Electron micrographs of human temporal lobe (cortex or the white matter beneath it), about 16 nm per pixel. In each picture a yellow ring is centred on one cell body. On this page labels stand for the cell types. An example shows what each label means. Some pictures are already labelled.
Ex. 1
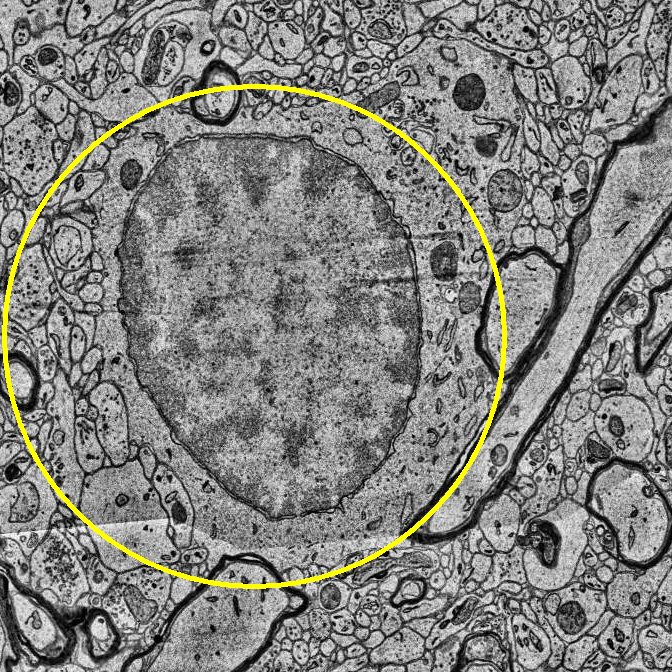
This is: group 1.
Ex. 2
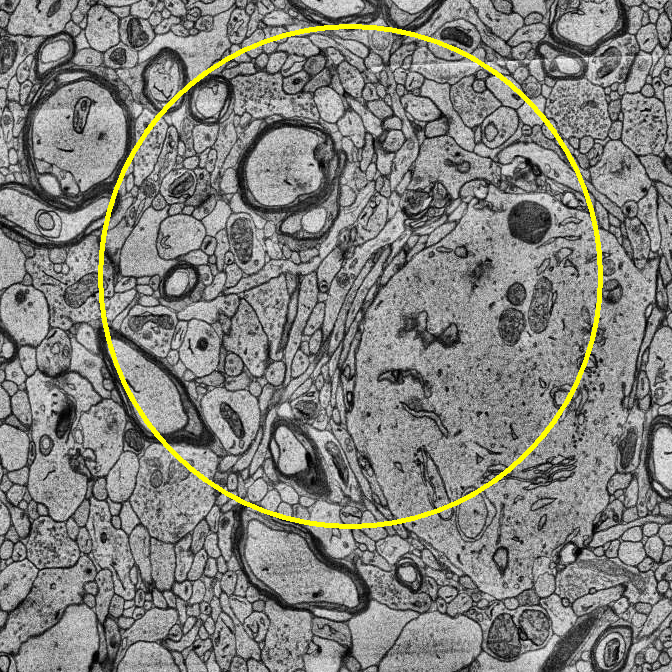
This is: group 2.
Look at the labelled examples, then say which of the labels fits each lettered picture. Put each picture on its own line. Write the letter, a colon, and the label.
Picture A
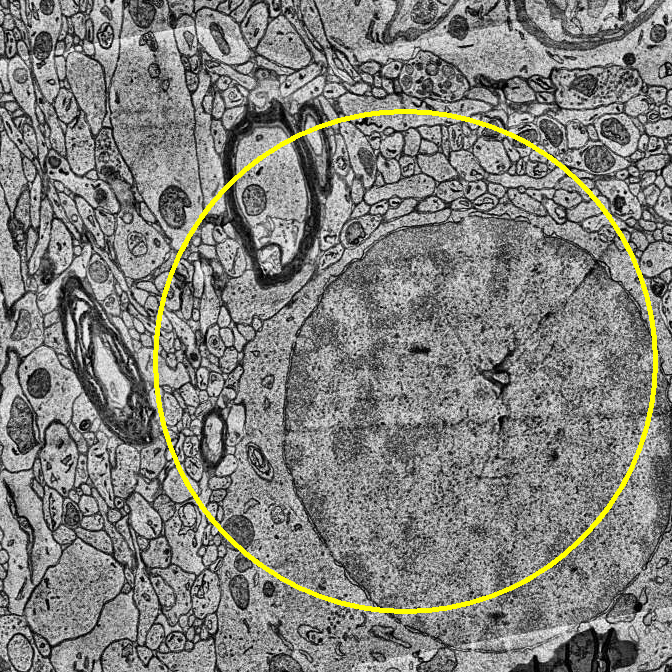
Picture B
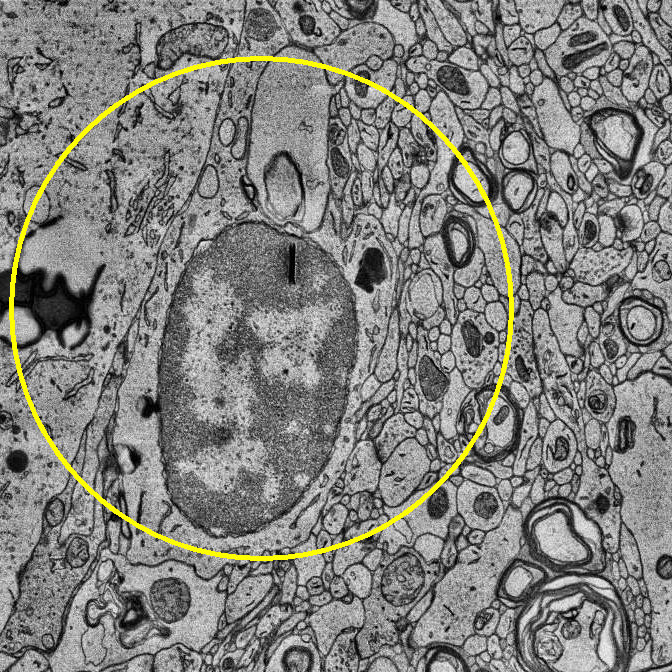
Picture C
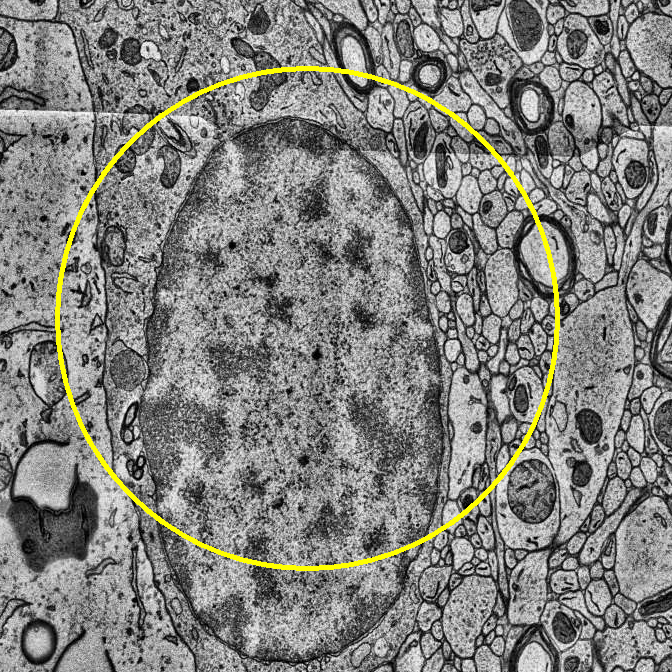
A: group 1.
B: group 2.
C: group 1.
